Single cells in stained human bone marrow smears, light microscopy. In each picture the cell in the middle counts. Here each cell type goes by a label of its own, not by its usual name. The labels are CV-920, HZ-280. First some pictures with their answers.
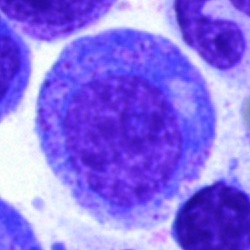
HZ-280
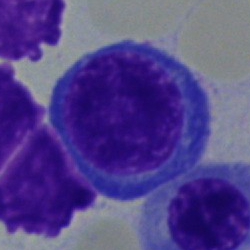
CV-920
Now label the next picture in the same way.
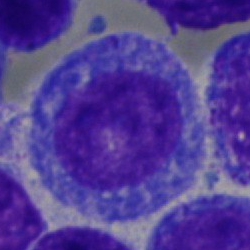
HZ-280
